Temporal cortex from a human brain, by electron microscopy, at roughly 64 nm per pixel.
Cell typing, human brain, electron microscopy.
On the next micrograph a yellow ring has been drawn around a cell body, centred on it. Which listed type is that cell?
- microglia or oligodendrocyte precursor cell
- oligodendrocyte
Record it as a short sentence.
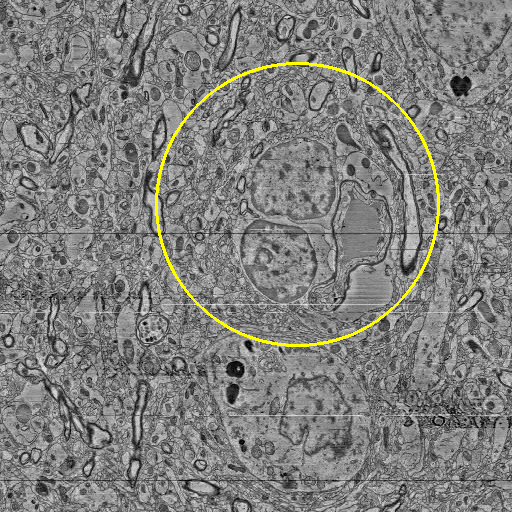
The cell body in the ring's centre belongs to an oligodendrocyte.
